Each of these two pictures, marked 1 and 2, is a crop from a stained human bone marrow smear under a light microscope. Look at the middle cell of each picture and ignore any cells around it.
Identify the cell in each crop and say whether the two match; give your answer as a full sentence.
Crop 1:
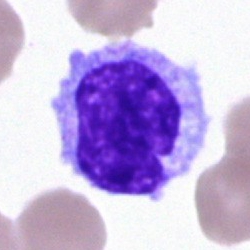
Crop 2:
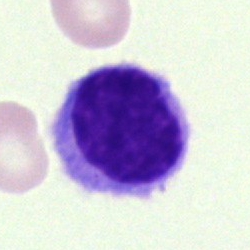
No, crop 1 is home to a monocyte, and crop 2 to a hairy cell.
